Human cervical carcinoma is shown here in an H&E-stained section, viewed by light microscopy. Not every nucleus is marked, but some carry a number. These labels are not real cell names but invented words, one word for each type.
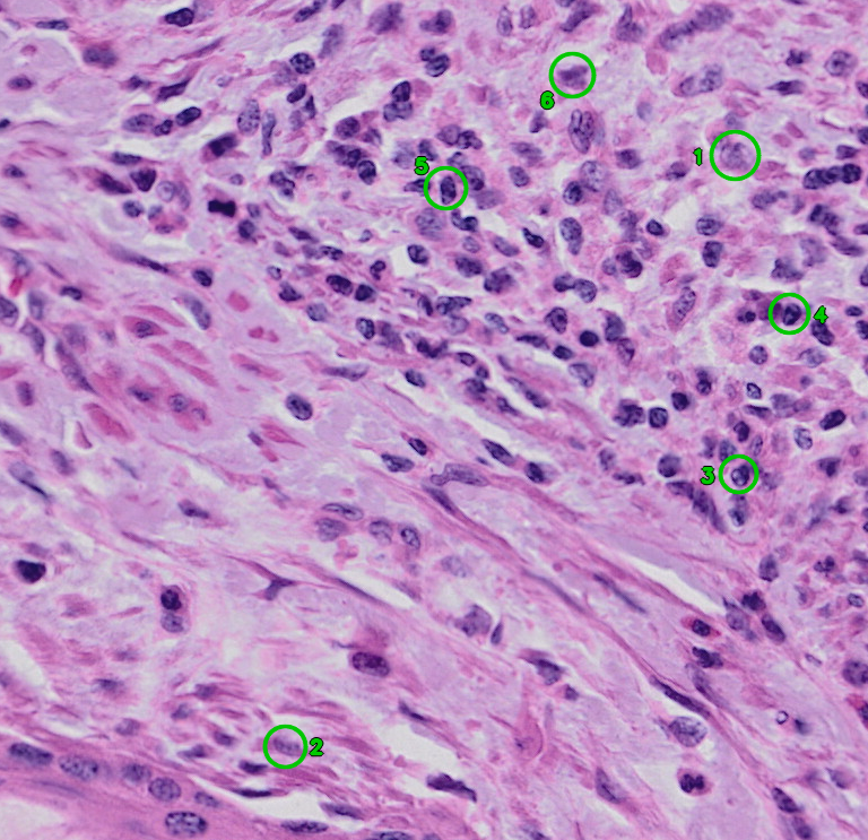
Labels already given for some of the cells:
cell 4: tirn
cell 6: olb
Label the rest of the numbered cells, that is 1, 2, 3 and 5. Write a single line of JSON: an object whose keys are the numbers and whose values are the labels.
{"1": "olb", "2": "olb", "3": "tirn", "5": "tirn"}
